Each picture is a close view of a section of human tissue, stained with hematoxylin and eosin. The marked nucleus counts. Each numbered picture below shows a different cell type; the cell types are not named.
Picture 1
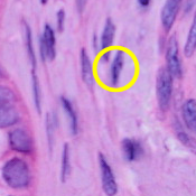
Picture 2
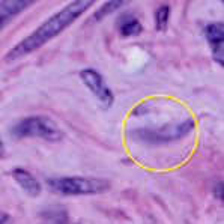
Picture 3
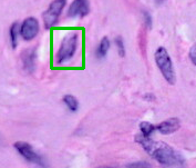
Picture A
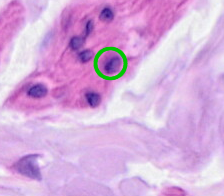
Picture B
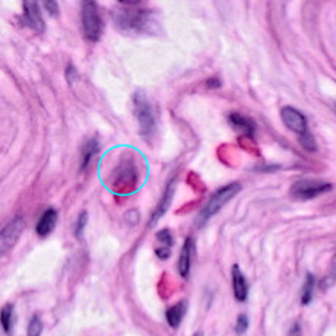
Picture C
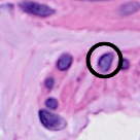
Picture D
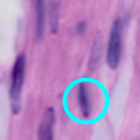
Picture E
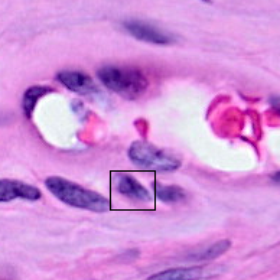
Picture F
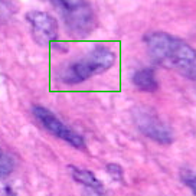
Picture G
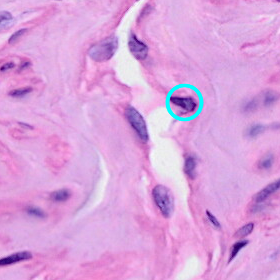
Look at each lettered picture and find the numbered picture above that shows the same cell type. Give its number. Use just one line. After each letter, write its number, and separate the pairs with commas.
A 2, B 3, C 2, D 2, E 3, F 1, G 3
